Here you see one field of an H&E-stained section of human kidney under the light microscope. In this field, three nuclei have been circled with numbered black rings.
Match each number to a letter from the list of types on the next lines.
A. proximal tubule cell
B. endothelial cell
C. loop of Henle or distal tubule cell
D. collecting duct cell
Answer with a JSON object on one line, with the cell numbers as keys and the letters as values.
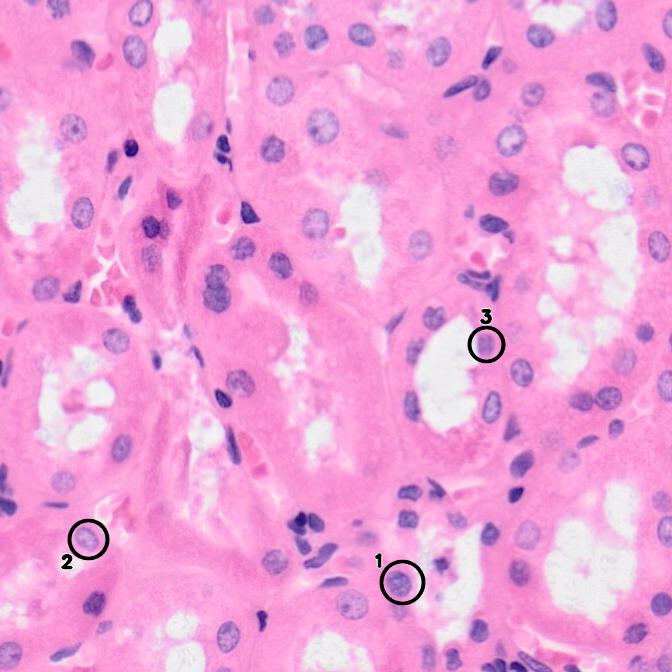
{"1": "C", "2": "A", "3": "C"}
